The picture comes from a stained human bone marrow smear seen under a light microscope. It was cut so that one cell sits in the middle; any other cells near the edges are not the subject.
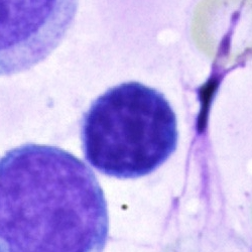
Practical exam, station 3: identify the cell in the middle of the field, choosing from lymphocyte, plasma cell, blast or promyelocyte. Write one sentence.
The cell under consideration, at the middle of the crop, is a lymphocyte.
